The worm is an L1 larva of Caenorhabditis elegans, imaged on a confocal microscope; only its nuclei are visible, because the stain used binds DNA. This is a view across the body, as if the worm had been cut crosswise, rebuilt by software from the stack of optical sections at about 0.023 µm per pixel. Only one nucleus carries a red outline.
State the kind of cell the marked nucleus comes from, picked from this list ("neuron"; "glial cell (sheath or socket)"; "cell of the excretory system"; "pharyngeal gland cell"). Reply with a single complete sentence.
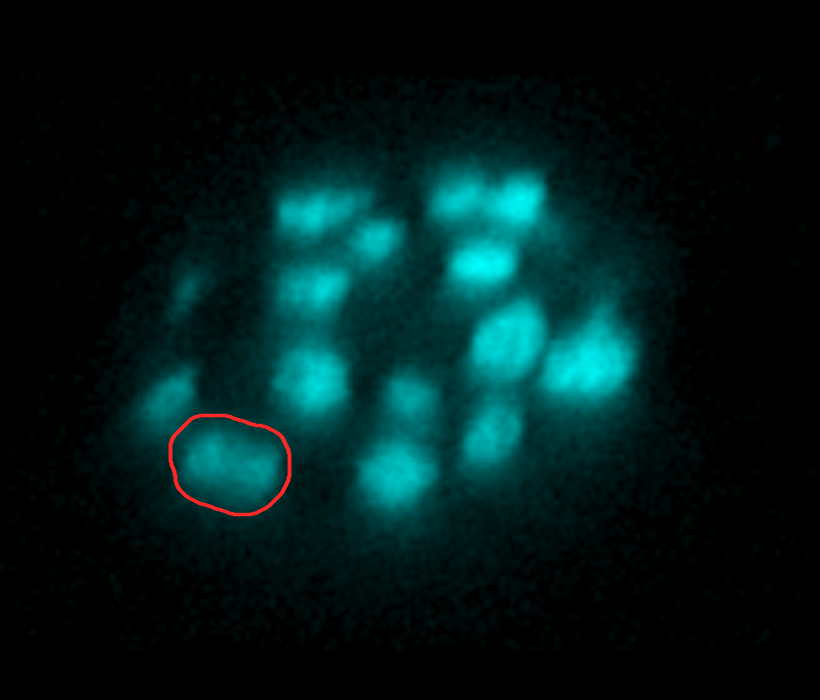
This is the nucleus of a glial cell (sheath or socket).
